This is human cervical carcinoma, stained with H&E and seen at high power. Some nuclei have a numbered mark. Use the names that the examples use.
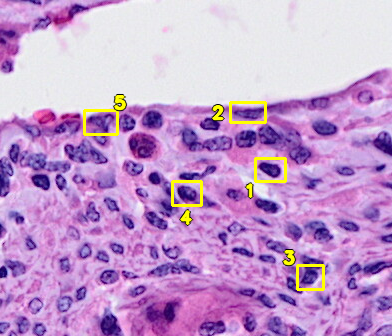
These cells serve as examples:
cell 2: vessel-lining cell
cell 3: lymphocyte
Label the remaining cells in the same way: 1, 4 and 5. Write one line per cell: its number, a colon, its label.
1: lymphocyte
4: lymphocyte
5: vessel-lining cell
